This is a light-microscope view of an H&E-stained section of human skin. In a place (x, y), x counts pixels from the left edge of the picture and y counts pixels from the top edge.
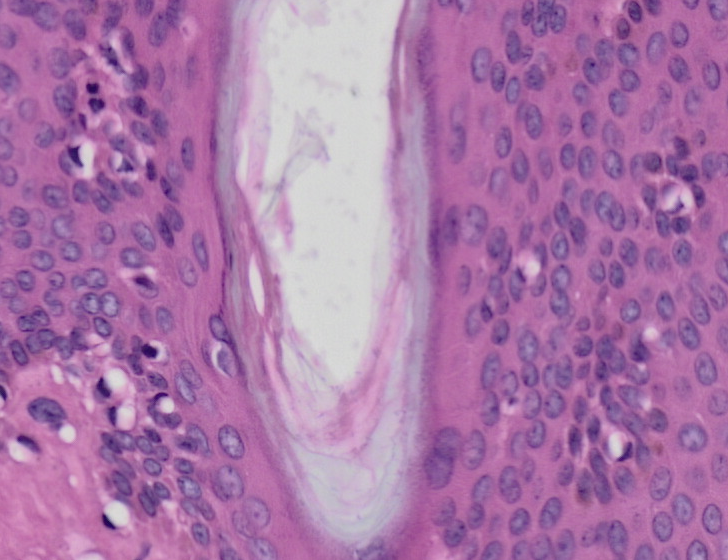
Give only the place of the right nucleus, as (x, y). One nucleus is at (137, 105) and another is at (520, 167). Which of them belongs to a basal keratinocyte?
(137, 105)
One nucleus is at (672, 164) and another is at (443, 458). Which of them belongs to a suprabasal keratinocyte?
(443, 458)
